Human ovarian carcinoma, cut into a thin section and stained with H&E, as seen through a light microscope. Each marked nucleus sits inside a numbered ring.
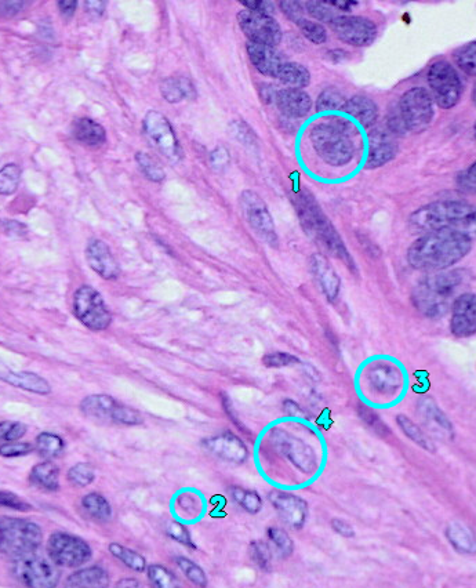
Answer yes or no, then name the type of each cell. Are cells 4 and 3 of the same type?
Yes, cells 4 and 3 both belong to the category of fibroblasts.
